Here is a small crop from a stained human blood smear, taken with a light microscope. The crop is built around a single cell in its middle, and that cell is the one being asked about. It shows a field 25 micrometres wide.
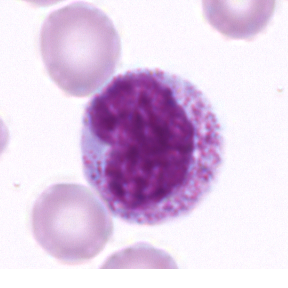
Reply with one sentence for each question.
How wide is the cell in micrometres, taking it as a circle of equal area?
The diameter of the cell comes to about 13 micrometres.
